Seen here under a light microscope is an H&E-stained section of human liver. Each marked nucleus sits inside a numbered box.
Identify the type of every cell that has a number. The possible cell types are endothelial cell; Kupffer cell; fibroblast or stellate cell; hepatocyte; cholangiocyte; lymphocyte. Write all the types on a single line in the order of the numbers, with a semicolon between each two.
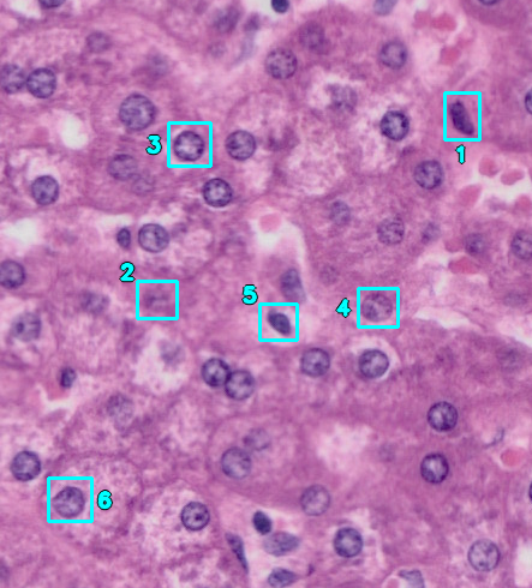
fibroblast or stellate cell; hepatocyte; hepatocyte; hepatocyte; lymphocyte; hepatocyte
